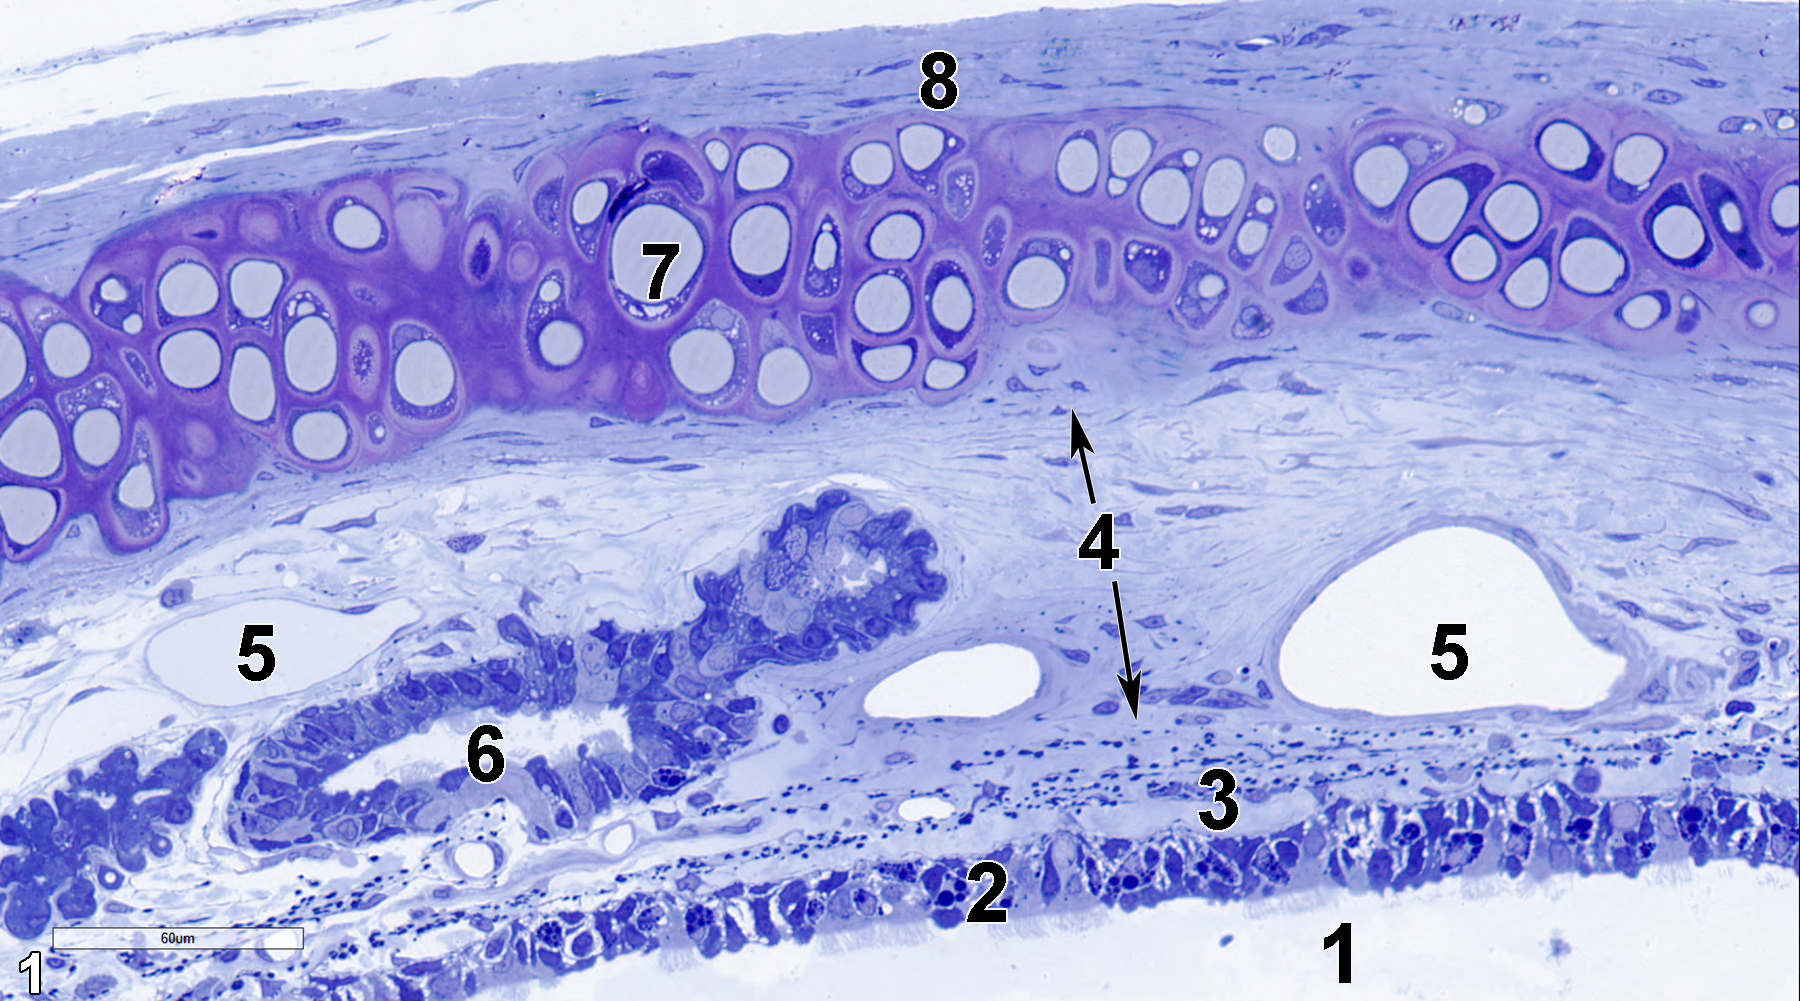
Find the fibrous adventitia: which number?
It's 8.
